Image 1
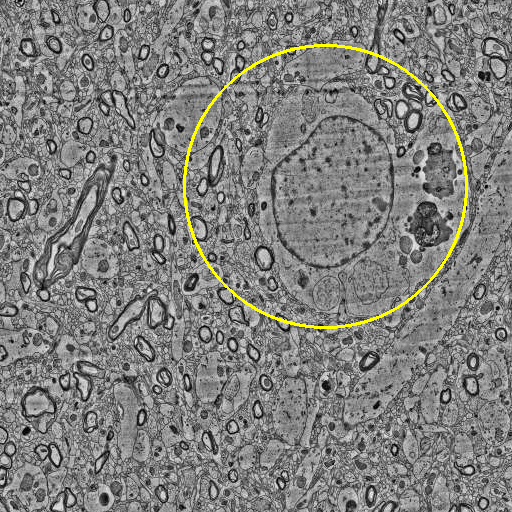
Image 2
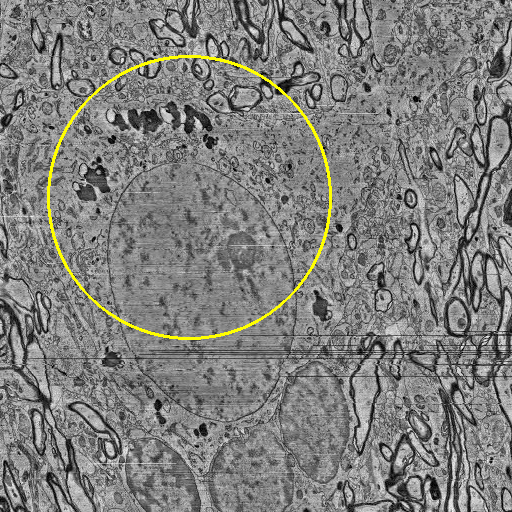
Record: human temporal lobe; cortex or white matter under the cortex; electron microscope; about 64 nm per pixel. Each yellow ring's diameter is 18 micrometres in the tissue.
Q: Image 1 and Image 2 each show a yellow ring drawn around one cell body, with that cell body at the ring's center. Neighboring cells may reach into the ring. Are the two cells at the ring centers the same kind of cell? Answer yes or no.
no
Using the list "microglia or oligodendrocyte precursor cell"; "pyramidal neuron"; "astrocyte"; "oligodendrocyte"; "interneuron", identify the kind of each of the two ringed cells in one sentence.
The first is an astrocyte and the second is a pyramidal neuron.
